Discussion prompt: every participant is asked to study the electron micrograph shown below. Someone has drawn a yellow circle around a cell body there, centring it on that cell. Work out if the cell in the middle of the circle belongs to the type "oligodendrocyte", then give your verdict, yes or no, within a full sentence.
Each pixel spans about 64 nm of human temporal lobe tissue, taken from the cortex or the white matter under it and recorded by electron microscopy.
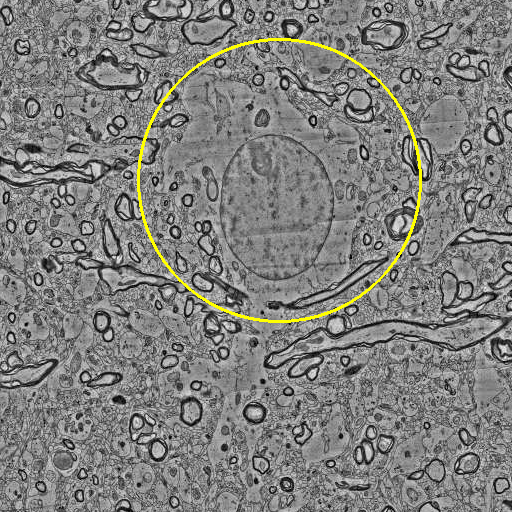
No, my verdict is that the cell in the circle's centre is of a different type.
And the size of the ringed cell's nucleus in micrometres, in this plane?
The nucleus is approximately 9 micrometers long by 7 micrometers wide in this plane.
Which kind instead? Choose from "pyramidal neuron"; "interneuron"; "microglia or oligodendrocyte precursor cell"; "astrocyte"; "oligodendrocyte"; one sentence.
The cell shown in the ring is an astrocyte.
